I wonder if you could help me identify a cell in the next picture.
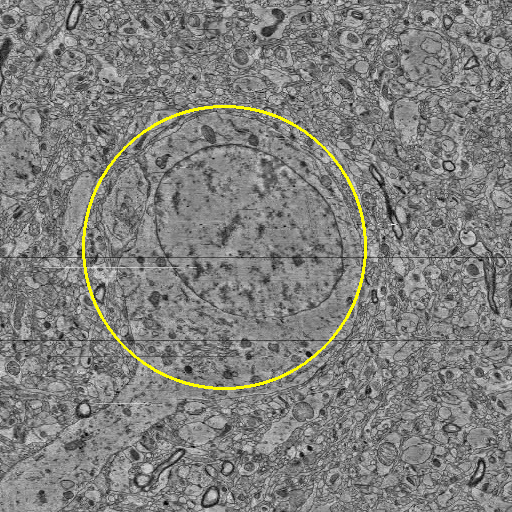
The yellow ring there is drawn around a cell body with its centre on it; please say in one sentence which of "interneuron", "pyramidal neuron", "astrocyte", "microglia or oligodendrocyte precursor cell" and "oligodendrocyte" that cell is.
The yellow ring is centred on a pyramidal neuron.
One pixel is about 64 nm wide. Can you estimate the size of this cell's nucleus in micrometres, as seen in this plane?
In this plane the nucleus measures roughly 13 by 10 micrometres.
